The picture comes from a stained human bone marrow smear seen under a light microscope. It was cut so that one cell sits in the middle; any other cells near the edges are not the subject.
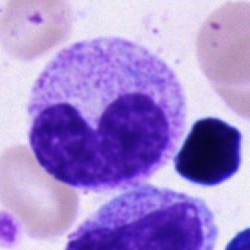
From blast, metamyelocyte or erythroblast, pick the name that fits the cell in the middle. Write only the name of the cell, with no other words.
metamyelocyte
